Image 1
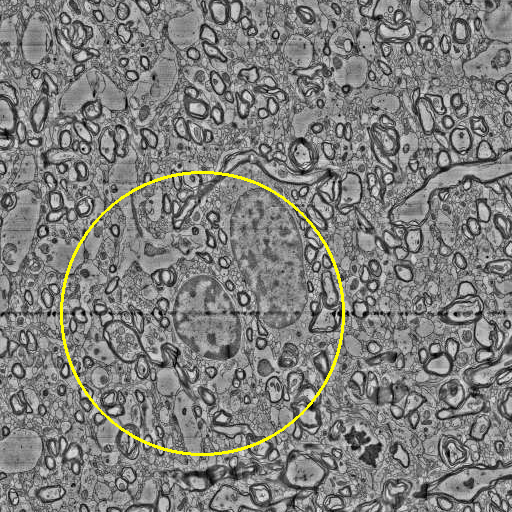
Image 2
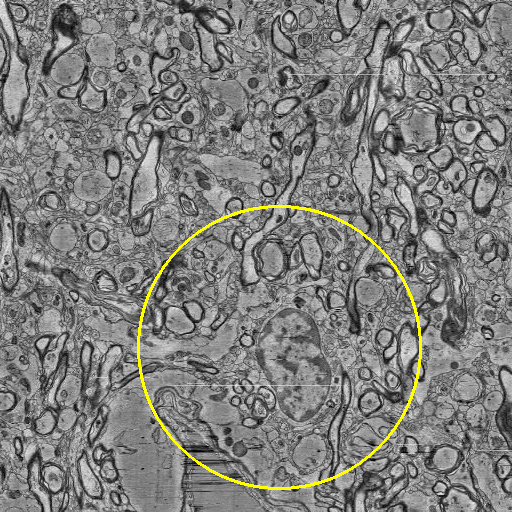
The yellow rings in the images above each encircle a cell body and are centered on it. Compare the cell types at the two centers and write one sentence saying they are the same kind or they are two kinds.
Taken together, the two cells at the ring centers are the same kind.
